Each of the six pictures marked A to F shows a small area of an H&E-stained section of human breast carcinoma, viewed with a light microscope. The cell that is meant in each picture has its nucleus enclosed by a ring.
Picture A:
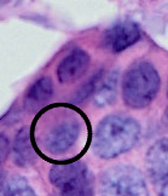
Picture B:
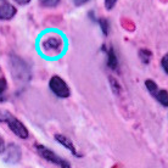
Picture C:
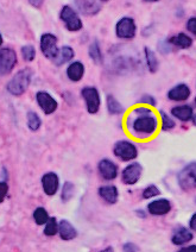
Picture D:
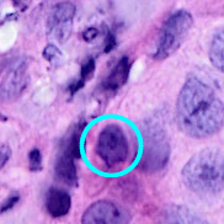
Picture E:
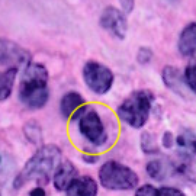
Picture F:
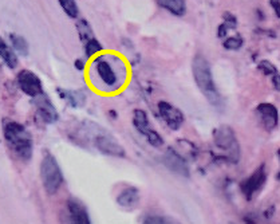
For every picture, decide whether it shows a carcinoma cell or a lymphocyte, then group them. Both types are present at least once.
A: carcinoma cell
B: lymphocyte
C: lymphocyte
D: carcinoma cell
E: lymphocyte
F: lymphocyte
